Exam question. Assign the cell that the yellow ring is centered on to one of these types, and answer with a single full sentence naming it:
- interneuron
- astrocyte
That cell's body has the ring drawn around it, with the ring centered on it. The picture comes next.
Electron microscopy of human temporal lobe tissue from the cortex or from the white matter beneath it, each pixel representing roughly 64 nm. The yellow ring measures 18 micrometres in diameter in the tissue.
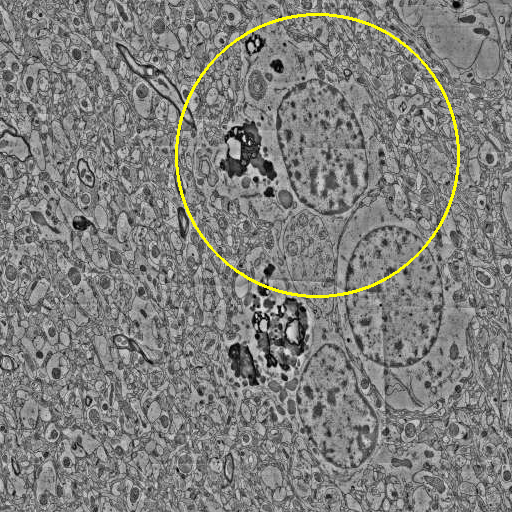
In the micrograph, the cell the yellow ring is centered on is an astrocyte.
